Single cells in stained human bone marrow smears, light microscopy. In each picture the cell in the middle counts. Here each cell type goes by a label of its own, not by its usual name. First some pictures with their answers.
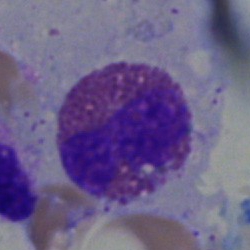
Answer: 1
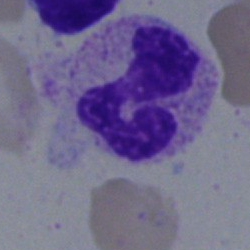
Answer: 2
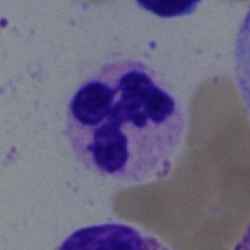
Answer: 2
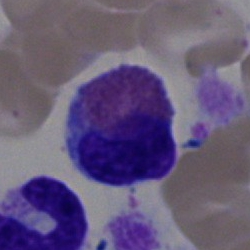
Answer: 1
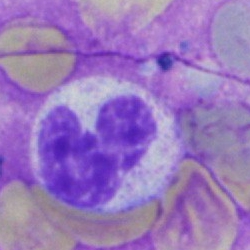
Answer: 2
